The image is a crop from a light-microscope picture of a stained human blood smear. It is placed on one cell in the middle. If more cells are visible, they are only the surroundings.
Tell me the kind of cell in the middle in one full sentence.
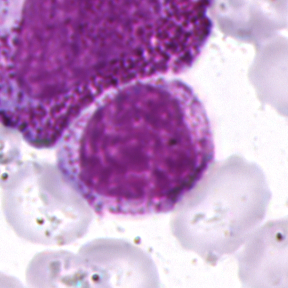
The crop centres on a single cell, and that cell is a myelocyte.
